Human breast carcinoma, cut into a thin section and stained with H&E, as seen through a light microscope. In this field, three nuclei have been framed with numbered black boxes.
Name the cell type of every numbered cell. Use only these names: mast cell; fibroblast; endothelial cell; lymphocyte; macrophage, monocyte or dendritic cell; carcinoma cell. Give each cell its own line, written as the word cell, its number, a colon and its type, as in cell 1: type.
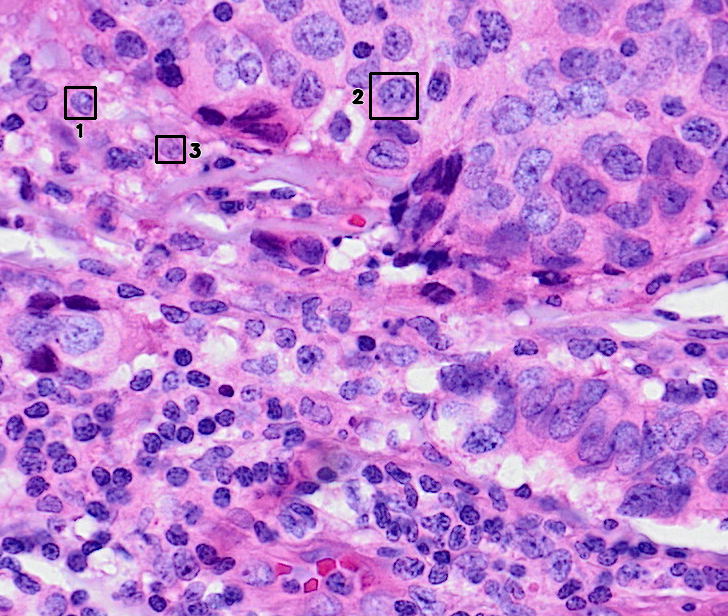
cell 1: macrophage, monocyte or dendritic cell
cell 2: carcinoma cell
cell 3: macrophage, monocyte or dendritic cell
